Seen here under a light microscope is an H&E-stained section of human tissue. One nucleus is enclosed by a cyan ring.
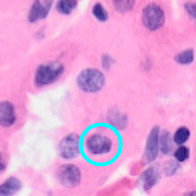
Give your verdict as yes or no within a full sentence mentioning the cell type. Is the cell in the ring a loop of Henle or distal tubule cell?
Yes, the identification stands: the cell in the ring is a loop of Henle or distal tubule cell.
